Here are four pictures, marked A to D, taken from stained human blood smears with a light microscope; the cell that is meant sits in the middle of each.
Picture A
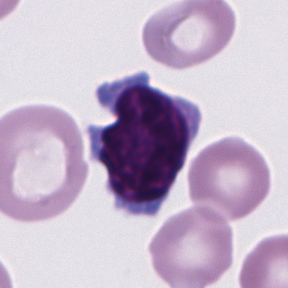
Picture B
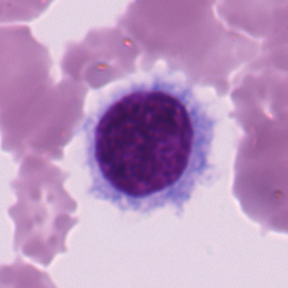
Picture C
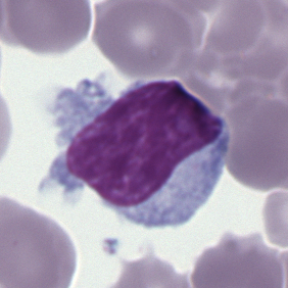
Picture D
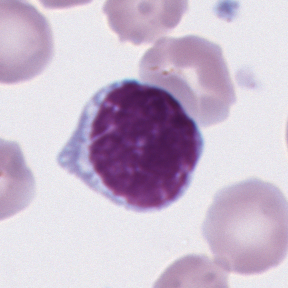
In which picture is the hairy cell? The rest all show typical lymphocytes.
B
